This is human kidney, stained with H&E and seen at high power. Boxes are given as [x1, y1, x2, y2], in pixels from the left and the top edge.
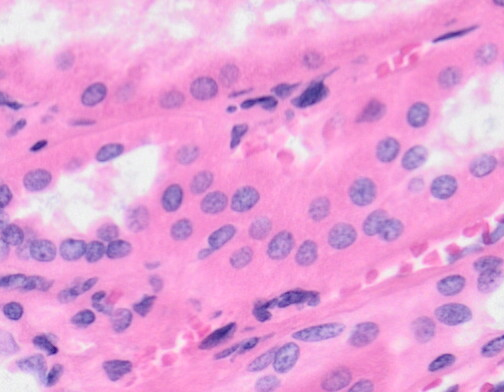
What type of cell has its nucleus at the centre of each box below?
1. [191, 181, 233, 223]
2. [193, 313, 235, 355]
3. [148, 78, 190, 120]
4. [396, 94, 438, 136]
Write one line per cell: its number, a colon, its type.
1: loop of Henle or distal tubule cell
2: endothelial cell
3: proximal tubule cell
4: loop of Henle or distal tubule cell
